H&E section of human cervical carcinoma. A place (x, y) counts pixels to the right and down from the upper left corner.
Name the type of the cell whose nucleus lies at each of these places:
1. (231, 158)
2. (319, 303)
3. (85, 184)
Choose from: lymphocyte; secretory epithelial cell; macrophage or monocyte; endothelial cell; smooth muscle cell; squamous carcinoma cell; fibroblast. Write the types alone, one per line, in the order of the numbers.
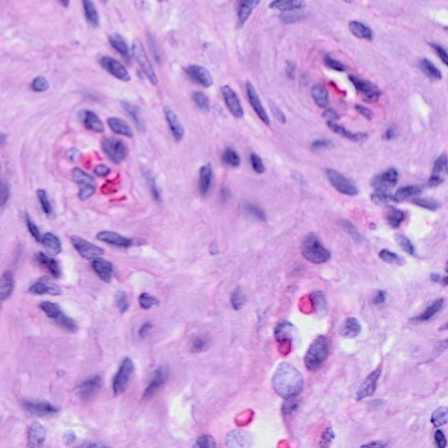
fibroblast
endothelial cell
endothelial cell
